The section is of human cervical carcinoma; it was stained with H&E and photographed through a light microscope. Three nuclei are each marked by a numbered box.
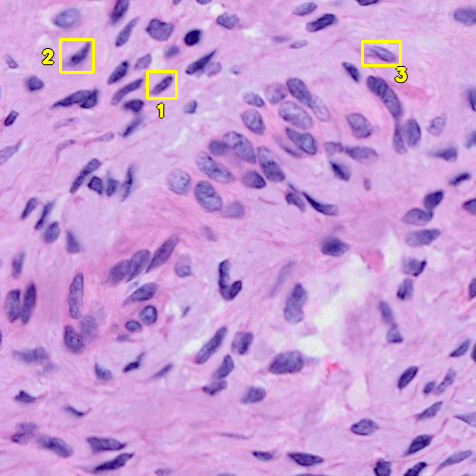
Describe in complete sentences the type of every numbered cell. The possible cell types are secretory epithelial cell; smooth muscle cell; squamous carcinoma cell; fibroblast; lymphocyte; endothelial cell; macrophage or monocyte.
Cell 1 is a fibroblast, cell 2 is a fibroblast and cell 3 is a smooth muscle cell.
